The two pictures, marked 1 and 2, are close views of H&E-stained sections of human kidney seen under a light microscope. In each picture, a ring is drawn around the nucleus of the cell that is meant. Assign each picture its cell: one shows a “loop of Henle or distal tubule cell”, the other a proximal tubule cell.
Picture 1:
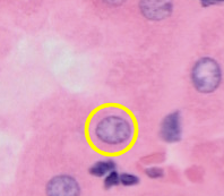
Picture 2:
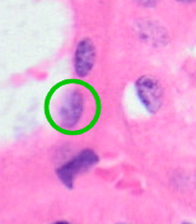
1: proximal tubule cell
2: loop of Henle or distal tubule cell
